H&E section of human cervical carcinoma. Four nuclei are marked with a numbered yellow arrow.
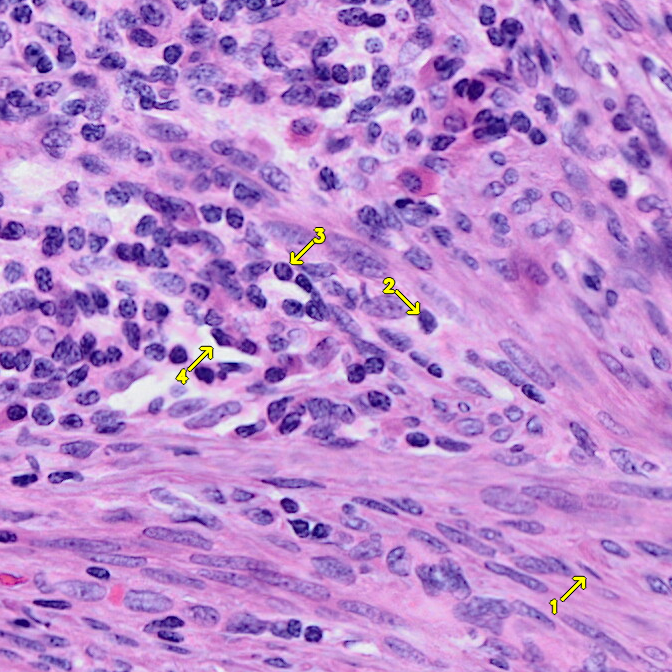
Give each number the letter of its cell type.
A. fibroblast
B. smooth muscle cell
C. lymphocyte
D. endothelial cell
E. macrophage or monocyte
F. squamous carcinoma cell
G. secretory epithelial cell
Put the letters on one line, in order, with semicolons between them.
B; C; C; C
